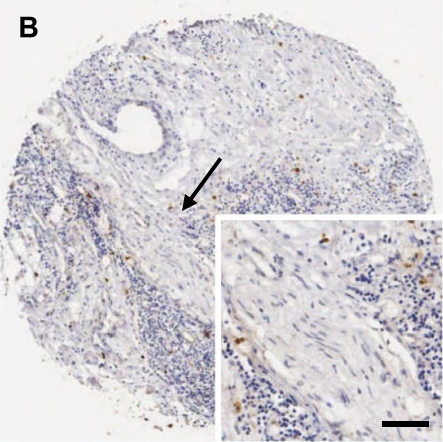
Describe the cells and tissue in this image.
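A nerve trunk crosses the core diagonally as a pale band of wavy, parallel fibres with slender elongated nuclei, without brown colour. It is bordered by dense clusters of small round dark-blue nuclei, and only a few scattered brown dots lie in the surrounding tissue.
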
